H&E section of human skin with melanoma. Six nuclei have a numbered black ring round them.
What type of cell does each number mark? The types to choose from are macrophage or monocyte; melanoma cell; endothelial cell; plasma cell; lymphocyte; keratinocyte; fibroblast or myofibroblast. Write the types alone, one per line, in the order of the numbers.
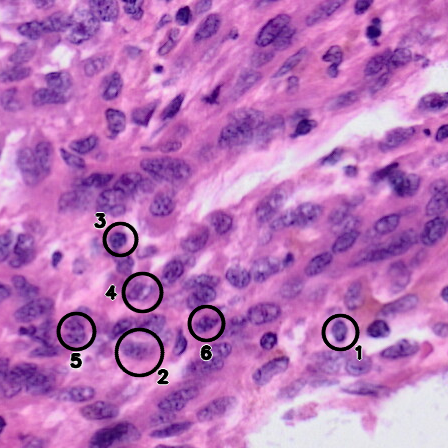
lymphocyte
melanoma cell
lymphocyte
melanoma cell
melanoma cell
melanoma cell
